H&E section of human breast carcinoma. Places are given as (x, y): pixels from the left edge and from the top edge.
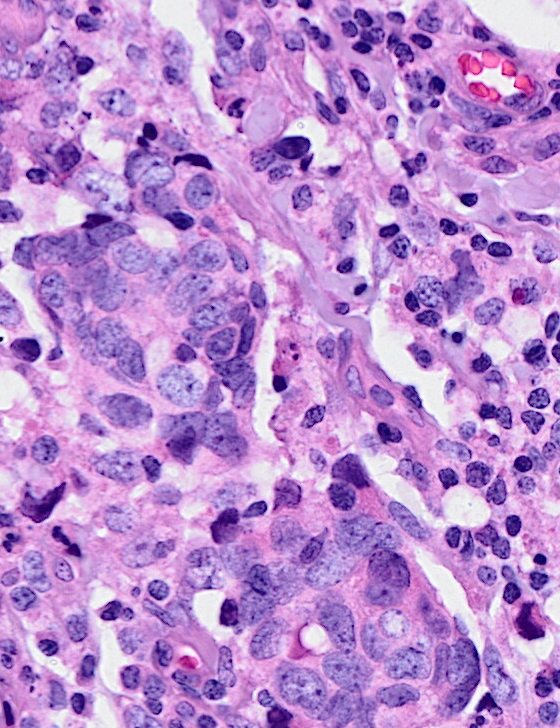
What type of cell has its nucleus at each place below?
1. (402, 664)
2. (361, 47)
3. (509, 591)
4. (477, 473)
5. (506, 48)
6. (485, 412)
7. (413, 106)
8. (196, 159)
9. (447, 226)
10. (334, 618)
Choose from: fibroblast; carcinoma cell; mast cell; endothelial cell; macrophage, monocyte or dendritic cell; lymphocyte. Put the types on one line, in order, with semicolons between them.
carcinoma cell; lymphocyte; lymphocyte; lymphocyte; endothelial cell; lymphocyte; lymphocyte; carcinoma cell; lymphocyte; carcinoma cell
